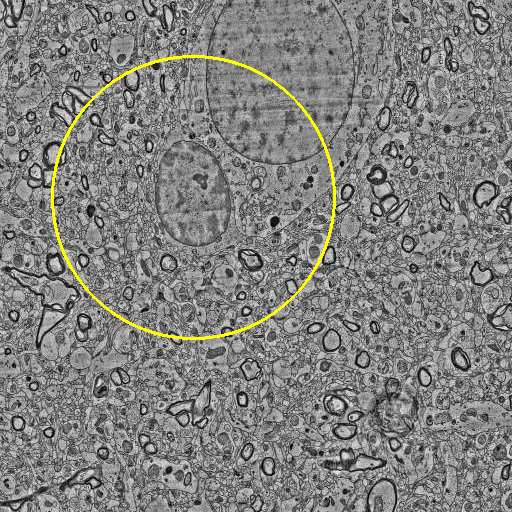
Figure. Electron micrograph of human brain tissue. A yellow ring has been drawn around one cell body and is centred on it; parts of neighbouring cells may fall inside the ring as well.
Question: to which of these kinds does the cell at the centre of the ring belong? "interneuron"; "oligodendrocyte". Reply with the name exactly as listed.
oligodendrocyte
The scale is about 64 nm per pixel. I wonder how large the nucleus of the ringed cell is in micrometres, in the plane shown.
In this plane the nucleus is about 7 micrometres by 5.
